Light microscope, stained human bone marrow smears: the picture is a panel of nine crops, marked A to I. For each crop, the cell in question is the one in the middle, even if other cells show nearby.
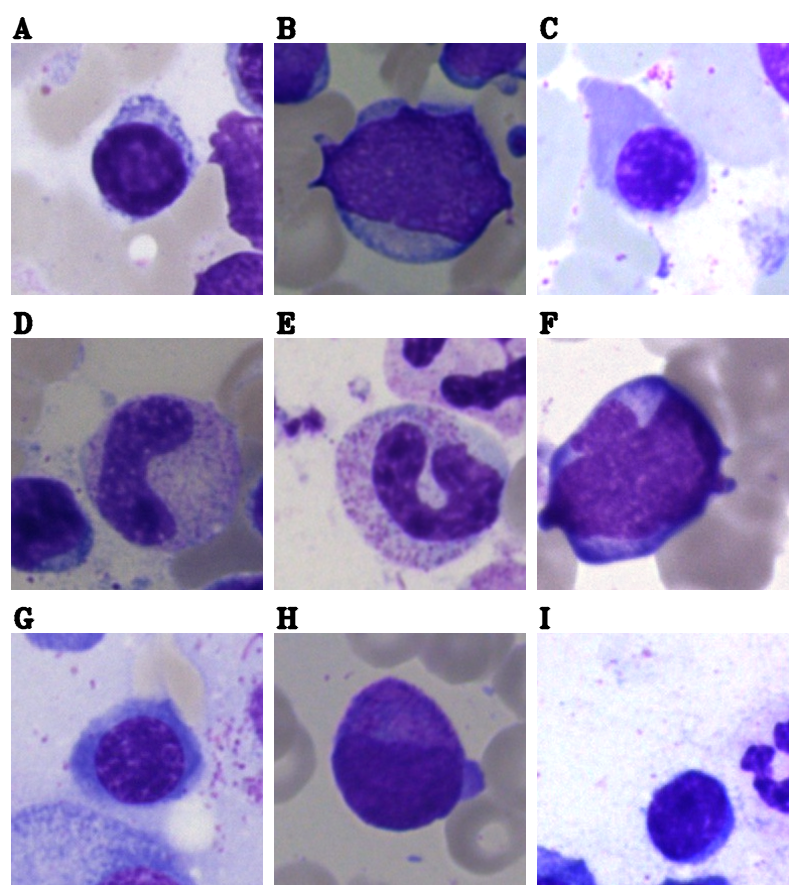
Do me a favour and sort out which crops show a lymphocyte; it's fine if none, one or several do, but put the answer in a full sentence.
Crops A and I show lymphocytes, going by the cell in the middle of each.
